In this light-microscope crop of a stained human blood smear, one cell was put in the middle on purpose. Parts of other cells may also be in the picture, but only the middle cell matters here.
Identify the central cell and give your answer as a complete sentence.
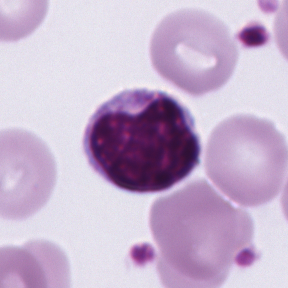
This crop has a large granular lymphocyte at its centre.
